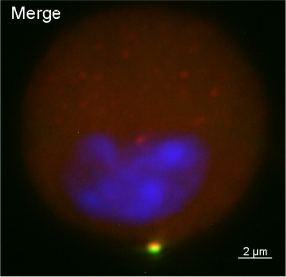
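A single rounded cell with a large blue nucleus that is lobed and indented on one side. The cytoplasm is filled with diffuse, faint red staining that extends well beyond the nucleus. One small, bright punctum at the lower edge of the cell is yellow-green where the red and green overlap. Green is otherwise very faint throughout the cell.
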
